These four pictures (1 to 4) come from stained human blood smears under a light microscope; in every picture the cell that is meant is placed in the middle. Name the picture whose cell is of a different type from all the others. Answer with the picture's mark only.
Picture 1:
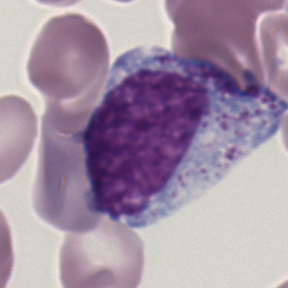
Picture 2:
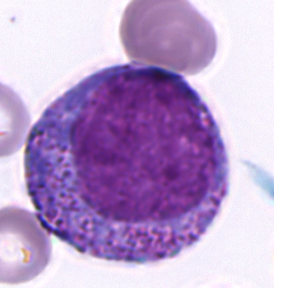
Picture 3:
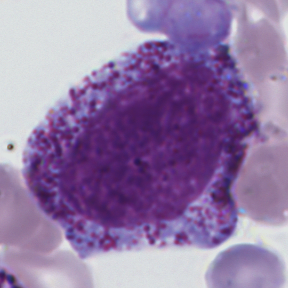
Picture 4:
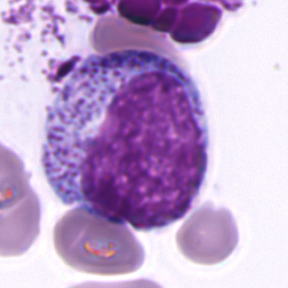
1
